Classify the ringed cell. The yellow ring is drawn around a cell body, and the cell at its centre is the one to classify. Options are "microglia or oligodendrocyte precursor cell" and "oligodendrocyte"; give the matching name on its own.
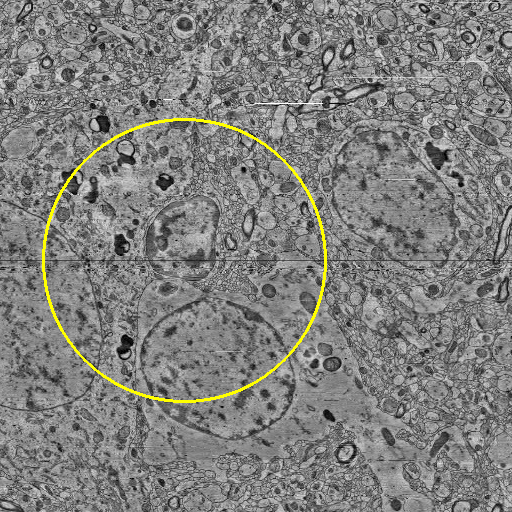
microglia or oligodendrocyte precursor cell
